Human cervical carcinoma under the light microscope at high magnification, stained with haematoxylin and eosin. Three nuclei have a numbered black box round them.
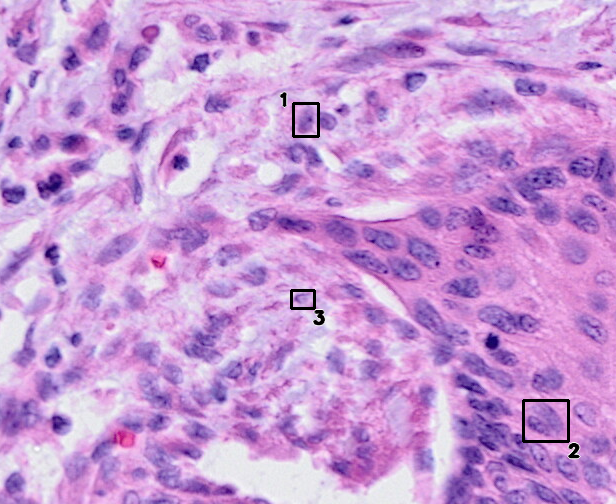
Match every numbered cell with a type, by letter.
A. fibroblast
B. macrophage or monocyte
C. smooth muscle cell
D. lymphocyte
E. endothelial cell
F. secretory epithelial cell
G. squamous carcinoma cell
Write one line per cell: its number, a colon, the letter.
1: A
2: G
3: A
